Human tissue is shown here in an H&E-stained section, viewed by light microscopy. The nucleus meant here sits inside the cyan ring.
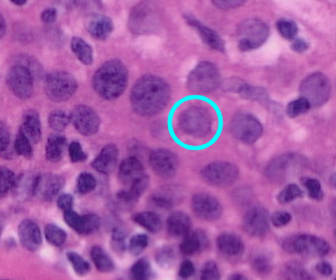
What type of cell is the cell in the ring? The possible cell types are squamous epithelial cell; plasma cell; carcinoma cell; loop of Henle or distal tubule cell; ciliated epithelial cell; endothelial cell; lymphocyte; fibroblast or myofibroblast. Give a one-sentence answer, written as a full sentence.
Histopathologically, the cell in the ring is a squamous epithelial cell.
